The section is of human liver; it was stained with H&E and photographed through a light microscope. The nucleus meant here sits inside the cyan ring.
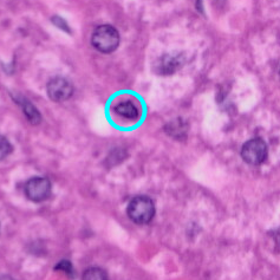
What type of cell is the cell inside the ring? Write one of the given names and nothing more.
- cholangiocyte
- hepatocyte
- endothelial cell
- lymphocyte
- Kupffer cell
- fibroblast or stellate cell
Kupffer cell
